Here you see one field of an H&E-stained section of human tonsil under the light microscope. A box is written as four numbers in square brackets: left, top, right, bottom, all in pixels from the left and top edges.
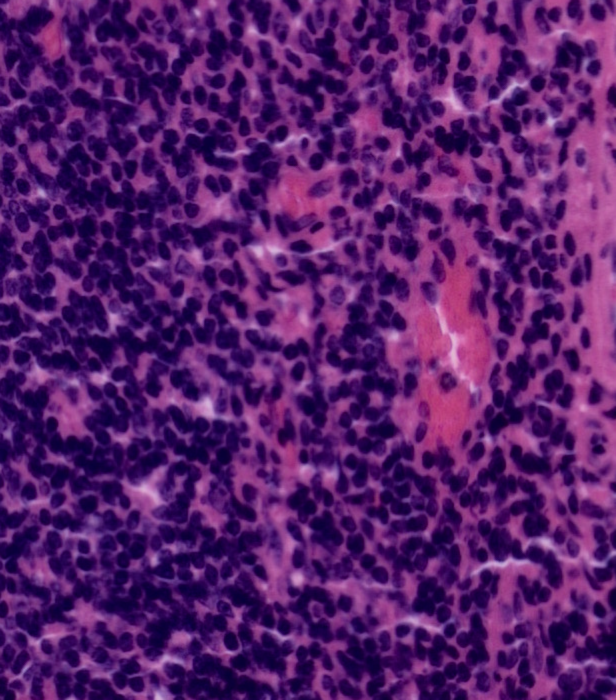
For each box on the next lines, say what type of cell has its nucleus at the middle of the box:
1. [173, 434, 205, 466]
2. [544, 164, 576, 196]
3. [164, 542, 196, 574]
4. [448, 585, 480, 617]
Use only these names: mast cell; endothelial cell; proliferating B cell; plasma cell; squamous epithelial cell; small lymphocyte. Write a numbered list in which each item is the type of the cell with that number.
1. small lymphocyte
2. endothelial cell
3. small lymphocyte
4. small lymphocyte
